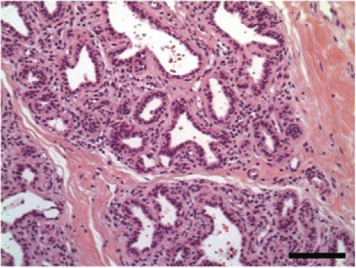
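This is mammary gland tissue cut through many alveoli, each a hollow space with a white lumen lined by a single layer of epithelial cells whose nuclei stain dark purple. The alveoli are crowded together into lobules, and a band of pink, fibrous connective tissue runs between the lobules. Some lumens are irregular or branched rather than round.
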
